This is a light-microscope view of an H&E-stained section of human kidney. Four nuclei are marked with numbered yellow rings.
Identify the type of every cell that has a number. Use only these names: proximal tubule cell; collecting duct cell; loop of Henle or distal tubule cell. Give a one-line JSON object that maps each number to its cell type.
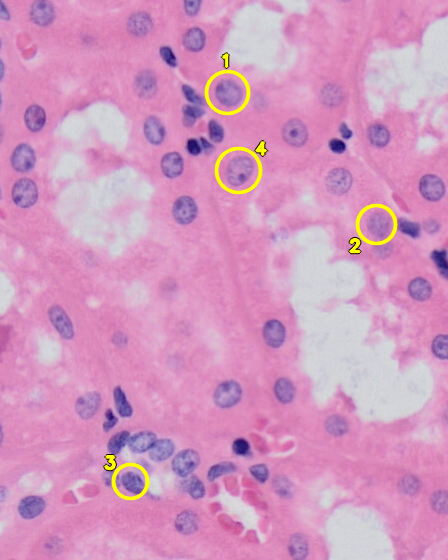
{"1": "proximal tubule cell", "2": "proximal tubule cell", "3": "collecting duct cell", "4": "proximal tubule cell"}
